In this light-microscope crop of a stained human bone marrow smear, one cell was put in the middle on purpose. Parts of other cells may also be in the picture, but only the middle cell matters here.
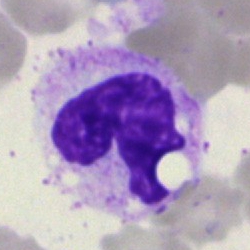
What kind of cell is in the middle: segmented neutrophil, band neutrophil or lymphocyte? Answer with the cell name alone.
band neutrophil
